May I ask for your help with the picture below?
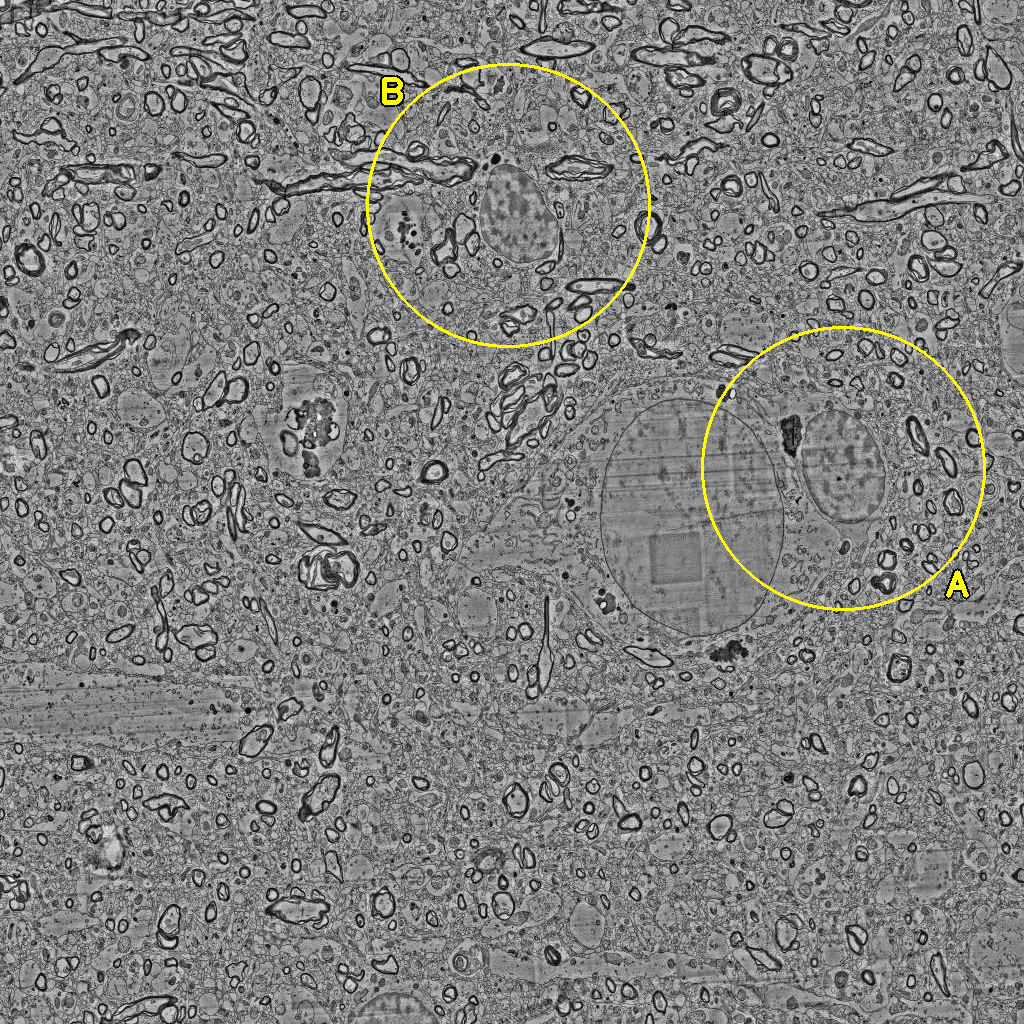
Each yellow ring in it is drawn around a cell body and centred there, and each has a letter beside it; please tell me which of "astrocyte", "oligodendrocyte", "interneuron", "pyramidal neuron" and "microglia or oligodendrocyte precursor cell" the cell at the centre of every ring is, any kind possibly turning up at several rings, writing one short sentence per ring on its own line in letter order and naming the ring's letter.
Ring A is drawn around the cell body of an oligodendrocyte.
Ring B is drawn around the cell body of a microglial cell or oligodendrocyte precursor cell.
